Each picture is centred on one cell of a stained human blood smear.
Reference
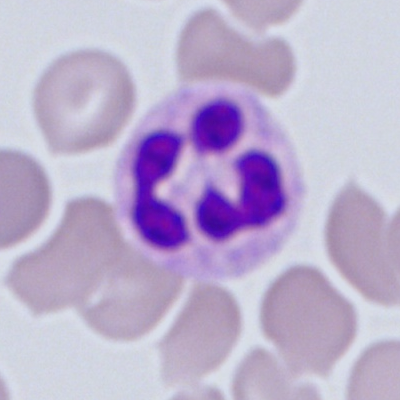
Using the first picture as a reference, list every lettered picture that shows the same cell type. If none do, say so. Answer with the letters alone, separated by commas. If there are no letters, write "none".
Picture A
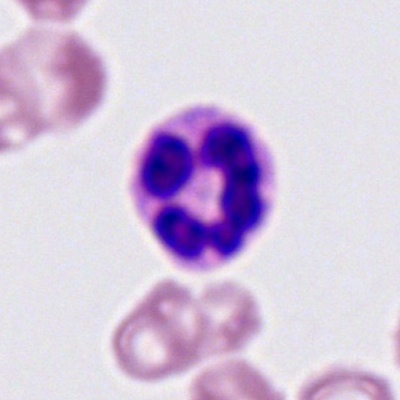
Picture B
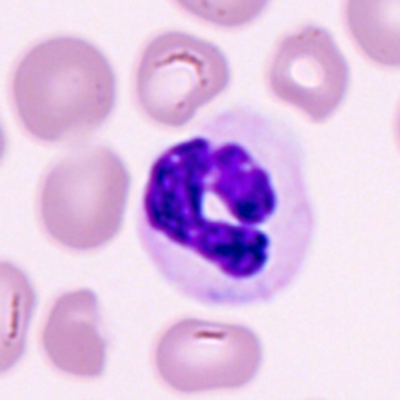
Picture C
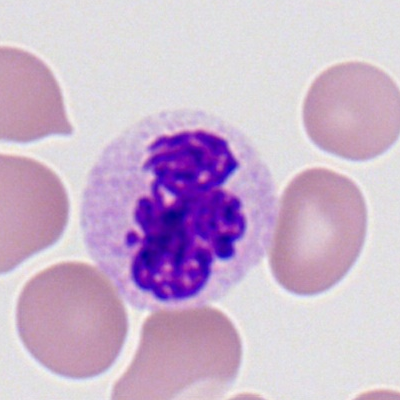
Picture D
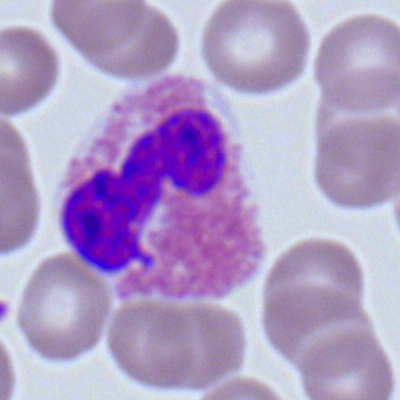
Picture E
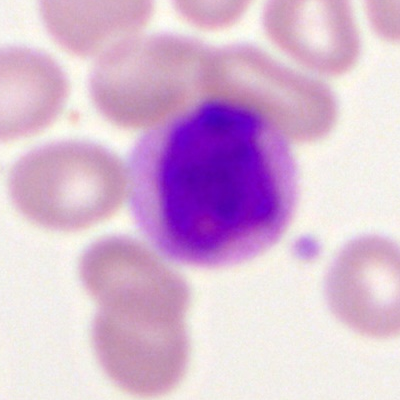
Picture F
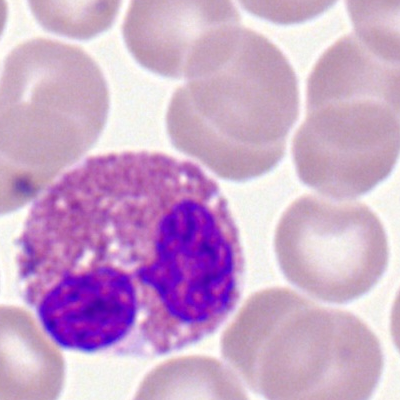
A, B, C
